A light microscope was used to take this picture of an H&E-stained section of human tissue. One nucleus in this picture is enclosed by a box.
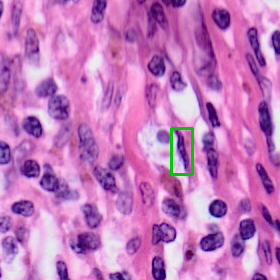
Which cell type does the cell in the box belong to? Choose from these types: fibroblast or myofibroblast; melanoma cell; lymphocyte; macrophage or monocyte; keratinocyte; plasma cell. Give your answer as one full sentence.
Microscopically, the cell in the box is categorized as a fibroblast or myofibroblast.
